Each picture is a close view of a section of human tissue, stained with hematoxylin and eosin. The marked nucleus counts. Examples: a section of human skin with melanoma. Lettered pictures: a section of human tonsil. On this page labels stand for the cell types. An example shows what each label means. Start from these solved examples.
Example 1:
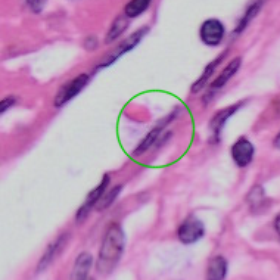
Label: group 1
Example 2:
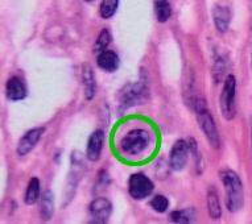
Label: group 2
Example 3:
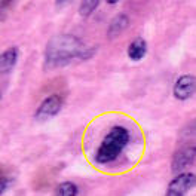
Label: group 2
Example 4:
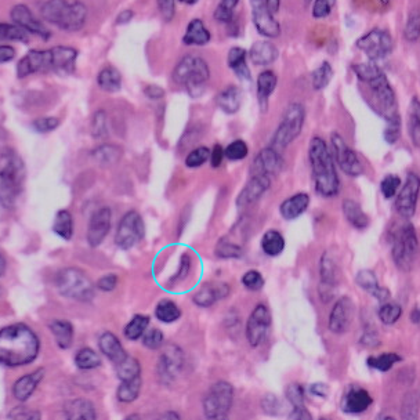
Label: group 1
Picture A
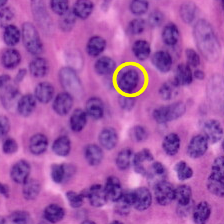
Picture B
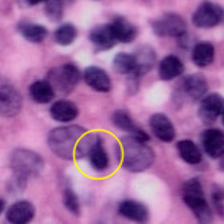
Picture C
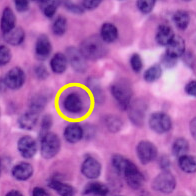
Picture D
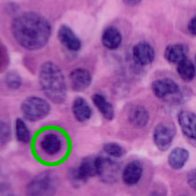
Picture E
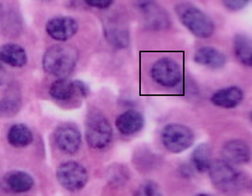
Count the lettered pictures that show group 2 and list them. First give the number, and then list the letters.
4, namely A, C, D, E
